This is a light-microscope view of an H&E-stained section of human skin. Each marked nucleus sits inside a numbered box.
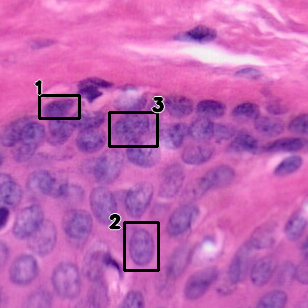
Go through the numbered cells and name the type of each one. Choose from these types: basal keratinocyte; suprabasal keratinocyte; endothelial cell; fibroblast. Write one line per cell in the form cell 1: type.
cell 1: basal keratinocyte
cell 2: suprabasal keratinocyte
cell 3: basal keratinocyte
